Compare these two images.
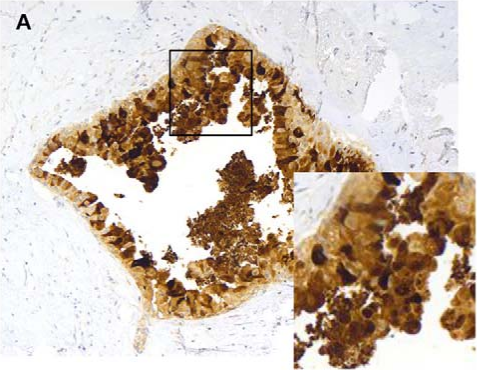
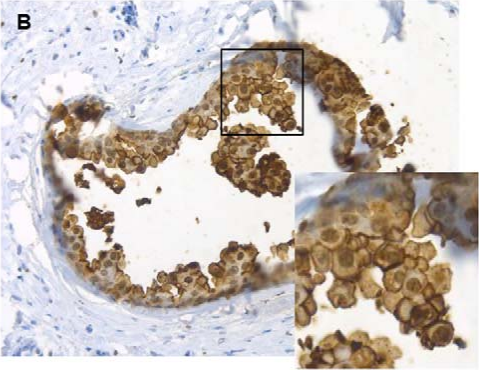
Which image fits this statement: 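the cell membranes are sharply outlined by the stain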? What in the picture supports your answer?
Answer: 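First image: brown stain is diffuse through cytoplasm and nuclei, with no crisp cell borders. Second image: cells in the inset are rimmed by distinct dark brown outlines. That points to this answer: the second image.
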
